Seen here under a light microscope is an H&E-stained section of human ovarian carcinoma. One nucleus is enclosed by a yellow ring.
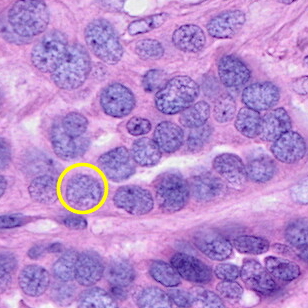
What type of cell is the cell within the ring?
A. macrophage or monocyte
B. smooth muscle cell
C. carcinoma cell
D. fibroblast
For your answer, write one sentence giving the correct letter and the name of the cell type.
Best answer: option C, with the cell within the ring being a carcinoma cell.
